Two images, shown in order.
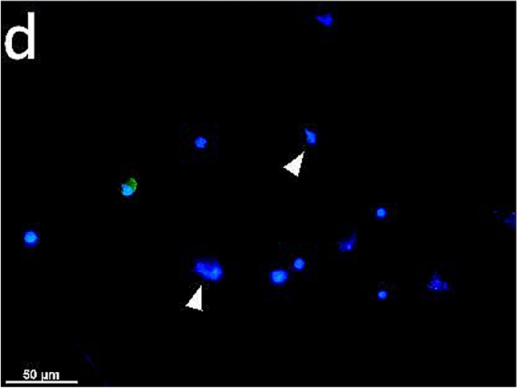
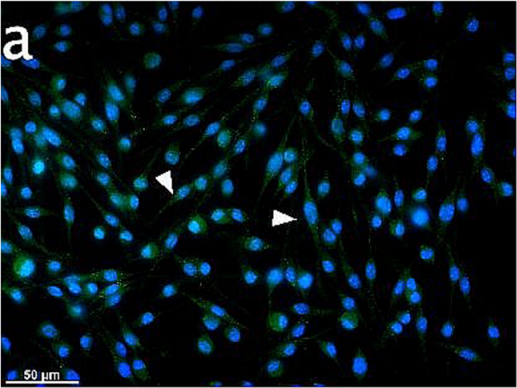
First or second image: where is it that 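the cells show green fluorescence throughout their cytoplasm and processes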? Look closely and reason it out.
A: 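First image: few scattered cells, mostly blue only, with almost no green around them. Second image: densely packed cells with green cytoplasm and long thin green processes.
Conclusion: the second image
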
